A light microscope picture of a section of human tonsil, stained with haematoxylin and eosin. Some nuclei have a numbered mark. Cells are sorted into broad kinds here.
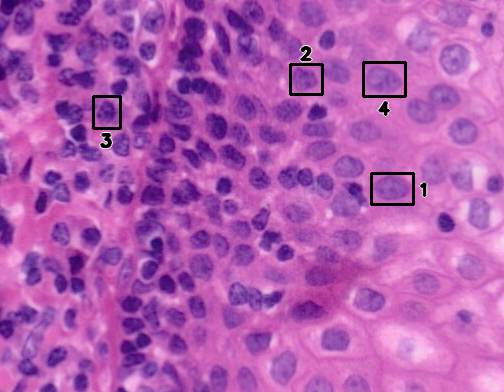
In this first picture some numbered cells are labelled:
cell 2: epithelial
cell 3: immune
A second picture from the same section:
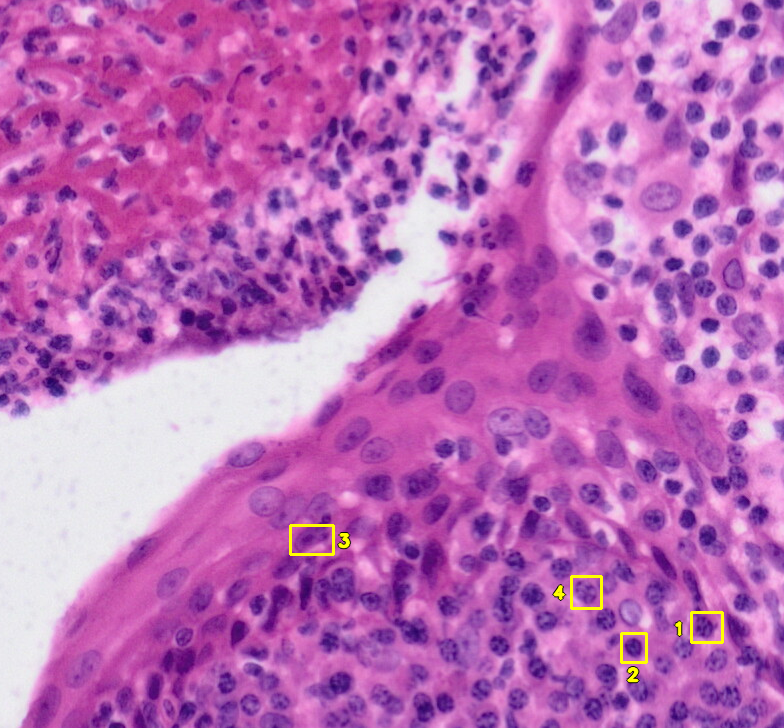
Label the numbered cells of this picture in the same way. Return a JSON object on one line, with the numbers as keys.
{"1": "immune", "2": "immune", "3": "epithelial", "4": "immune"}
